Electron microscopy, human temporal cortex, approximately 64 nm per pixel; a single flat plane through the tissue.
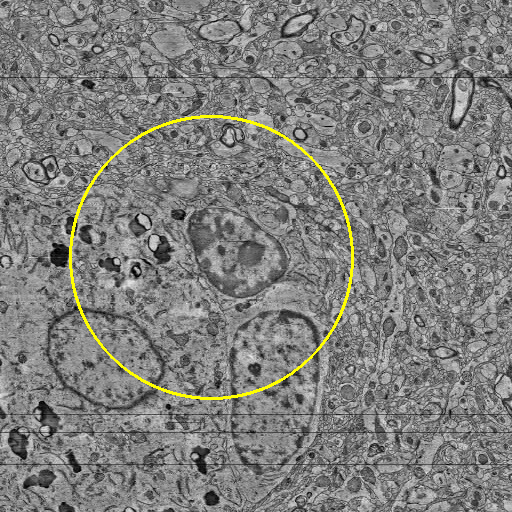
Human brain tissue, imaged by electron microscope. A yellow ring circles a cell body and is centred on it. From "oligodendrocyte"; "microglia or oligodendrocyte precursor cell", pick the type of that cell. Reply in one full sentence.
The cell body at the centre of the yellow ring belongs to a microglial cell or oligodendrocyte precursor cell.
